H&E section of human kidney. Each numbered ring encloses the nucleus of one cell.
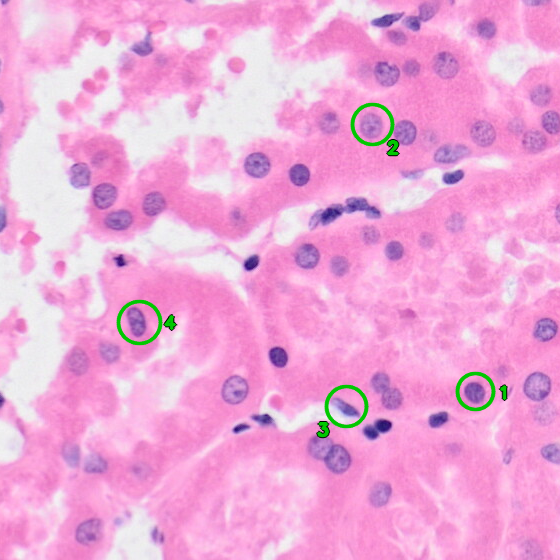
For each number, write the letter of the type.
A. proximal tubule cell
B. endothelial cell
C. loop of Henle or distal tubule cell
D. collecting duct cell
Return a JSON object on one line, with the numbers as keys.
{"1": "A", "2": "A", "3": "B", "4": "A"}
